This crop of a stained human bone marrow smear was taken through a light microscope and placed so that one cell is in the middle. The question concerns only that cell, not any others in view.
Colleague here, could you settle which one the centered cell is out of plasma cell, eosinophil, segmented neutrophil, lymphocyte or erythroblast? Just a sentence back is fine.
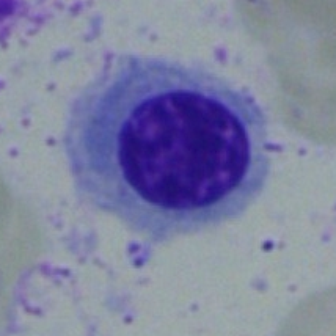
This particular crop is centered on an erythroblast.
